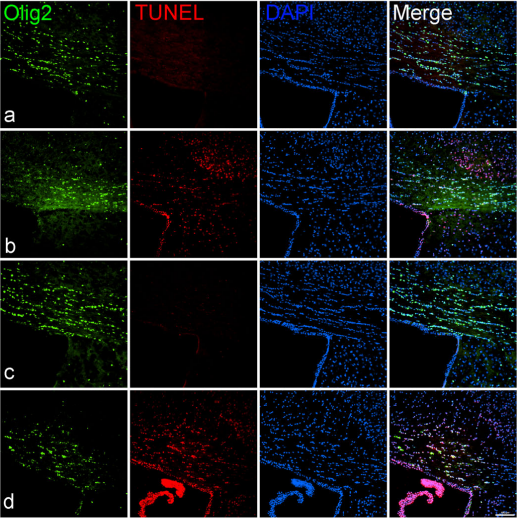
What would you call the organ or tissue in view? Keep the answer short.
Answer: Corpus callosum.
